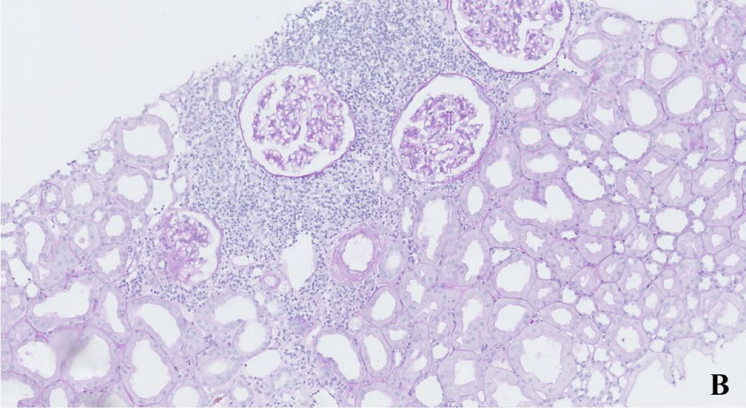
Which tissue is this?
Kidney.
